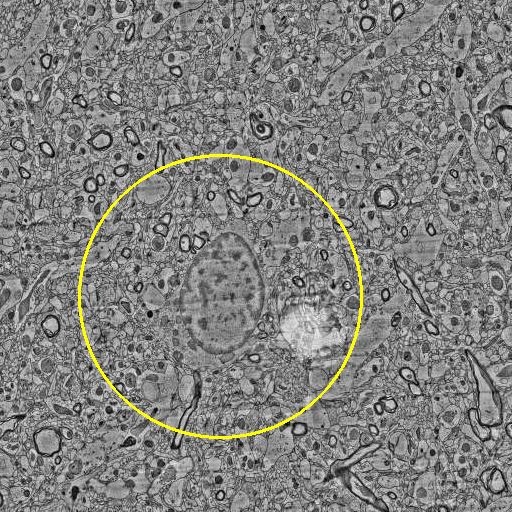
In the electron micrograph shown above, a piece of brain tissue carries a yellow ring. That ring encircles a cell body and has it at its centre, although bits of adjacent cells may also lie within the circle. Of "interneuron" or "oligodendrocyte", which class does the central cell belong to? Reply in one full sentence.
The cell body at the centre of the yellow ring belongs to an oligodendrocyte.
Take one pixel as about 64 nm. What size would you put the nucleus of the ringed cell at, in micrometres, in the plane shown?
The nucleus measures about 8 by 5 micrometres in this plane.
